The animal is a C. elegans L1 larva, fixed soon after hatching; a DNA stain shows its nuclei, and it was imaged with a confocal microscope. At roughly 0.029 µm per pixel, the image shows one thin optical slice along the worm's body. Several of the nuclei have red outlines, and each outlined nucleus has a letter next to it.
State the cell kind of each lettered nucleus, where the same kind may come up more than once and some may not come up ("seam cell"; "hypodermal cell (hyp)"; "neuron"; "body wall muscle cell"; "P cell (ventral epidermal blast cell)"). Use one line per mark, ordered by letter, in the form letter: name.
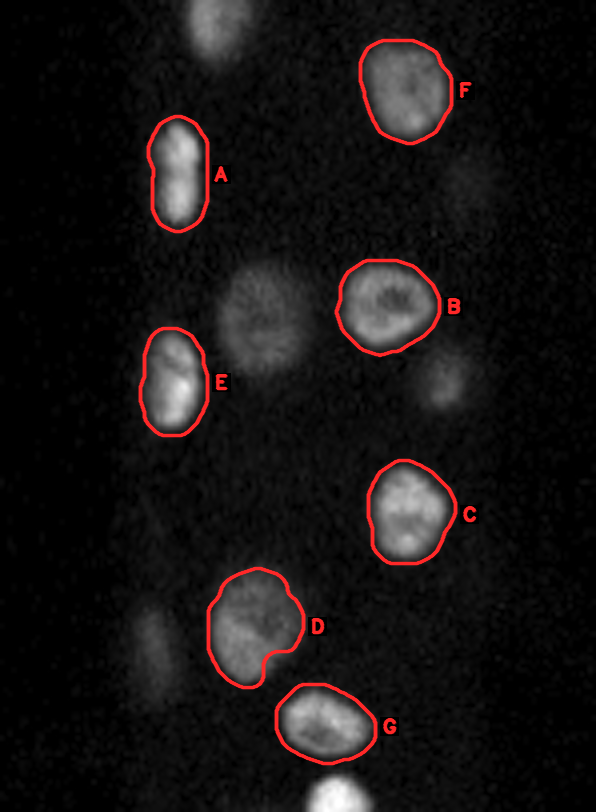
A: body wall muscle cell
B: seam cell
C: P cell (ventral epidermal blast cell)
D: hypodermal cell (hyp)
E: body wall muscle cell
F: P cell (ventral epidermal blast cell)
G: seam cell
